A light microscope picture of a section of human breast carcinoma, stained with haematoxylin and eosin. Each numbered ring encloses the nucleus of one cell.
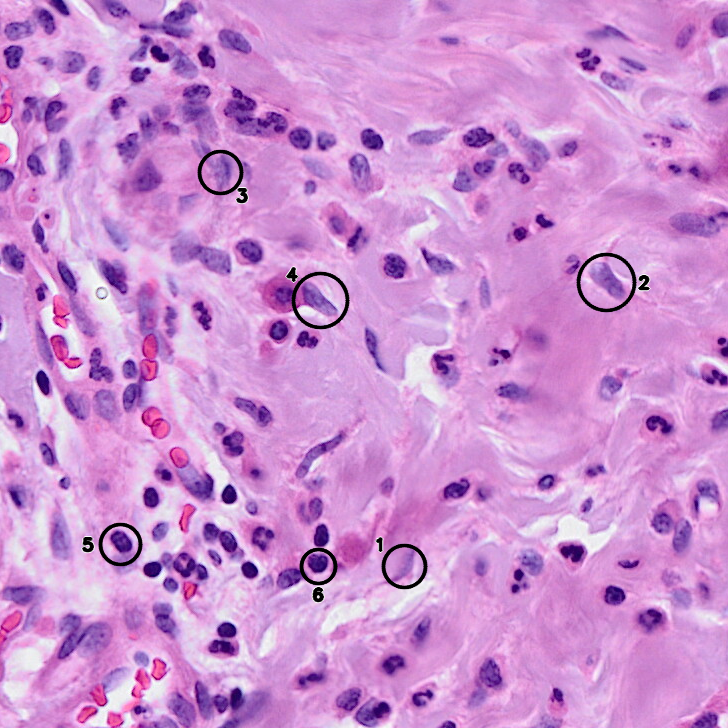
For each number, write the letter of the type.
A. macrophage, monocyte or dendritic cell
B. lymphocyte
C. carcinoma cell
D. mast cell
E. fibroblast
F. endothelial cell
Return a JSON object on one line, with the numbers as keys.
{"1": "E", "2": "E", "3": "E", "4": "E", "5": "B", "6": "B"}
